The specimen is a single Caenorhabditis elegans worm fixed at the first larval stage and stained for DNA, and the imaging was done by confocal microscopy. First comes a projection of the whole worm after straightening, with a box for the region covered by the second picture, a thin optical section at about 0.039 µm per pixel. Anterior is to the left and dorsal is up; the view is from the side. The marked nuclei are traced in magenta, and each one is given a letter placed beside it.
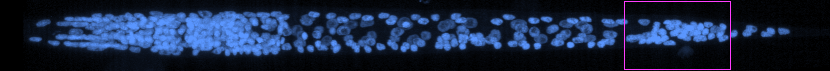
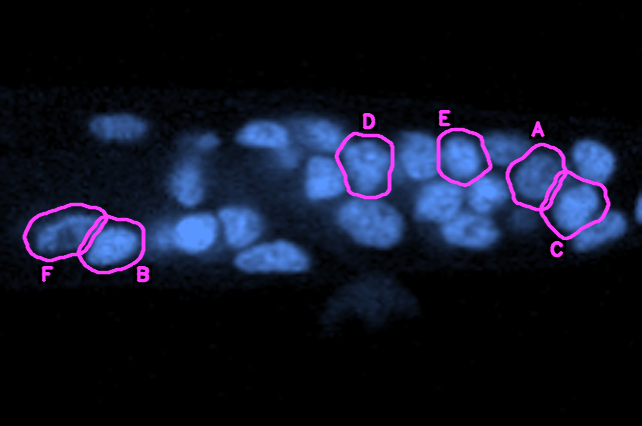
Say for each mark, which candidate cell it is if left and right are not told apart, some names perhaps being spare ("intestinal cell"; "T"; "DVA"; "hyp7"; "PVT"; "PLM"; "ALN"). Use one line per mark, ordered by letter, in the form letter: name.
A: T
B: PVT
C: PLM
D: DVA
E: ALN
F: intestinal cell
